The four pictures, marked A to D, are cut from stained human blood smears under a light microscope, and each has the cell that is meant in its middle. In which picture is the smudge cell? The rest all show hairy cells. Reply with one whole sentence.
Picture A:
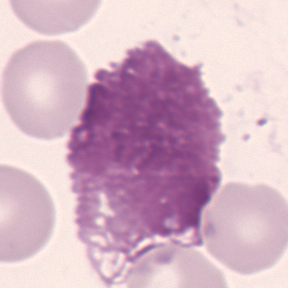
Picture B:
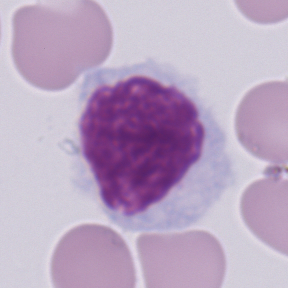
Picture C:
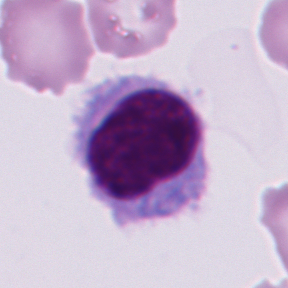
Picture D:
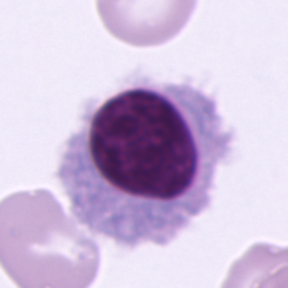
The picture with the smudge cell is A.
